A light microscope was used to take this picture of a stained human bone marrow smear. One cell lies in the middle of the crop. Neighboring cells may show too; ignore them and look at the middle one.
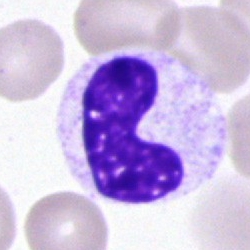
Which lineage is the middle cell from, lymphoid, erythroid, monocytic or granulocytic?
granulocytic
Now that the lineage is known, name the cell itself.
band neutrophil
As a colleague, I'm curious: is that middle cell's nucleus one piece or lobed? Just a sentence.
If you check the nucleus, you will find one compact mass, round, oval or kidney-shaped.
